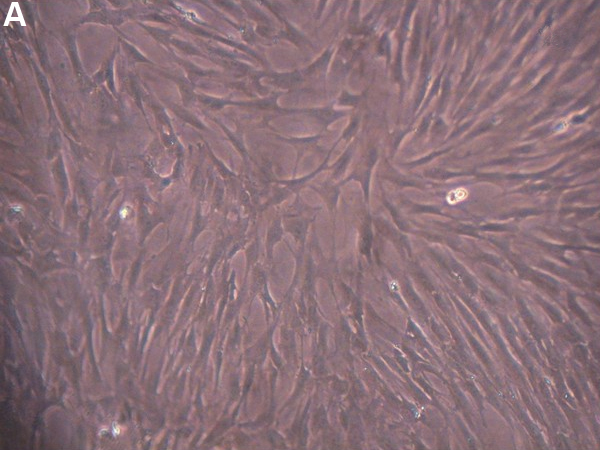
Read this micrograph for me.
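This is a dense culture of spindle-shaped mesenchymal cells seen in phase contrast. The elongated cells taper at both ends and lie side by side in parallel streams that form whorls across the field, with a few small round bright cells lying on top.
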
